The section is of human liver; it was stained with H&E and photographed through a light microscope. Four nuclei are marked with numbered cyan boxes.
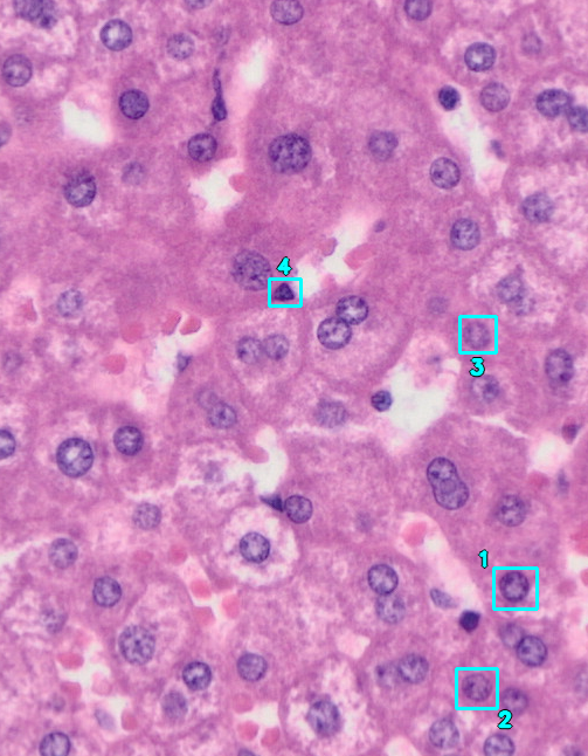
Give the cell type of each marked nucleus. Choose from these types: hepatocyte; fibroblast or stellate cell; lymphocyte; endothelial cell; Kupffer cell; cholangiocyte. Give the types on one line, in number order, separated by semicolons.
hepatocyte; hepatocyte; hepatocyte; fibroblast or stellate cell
